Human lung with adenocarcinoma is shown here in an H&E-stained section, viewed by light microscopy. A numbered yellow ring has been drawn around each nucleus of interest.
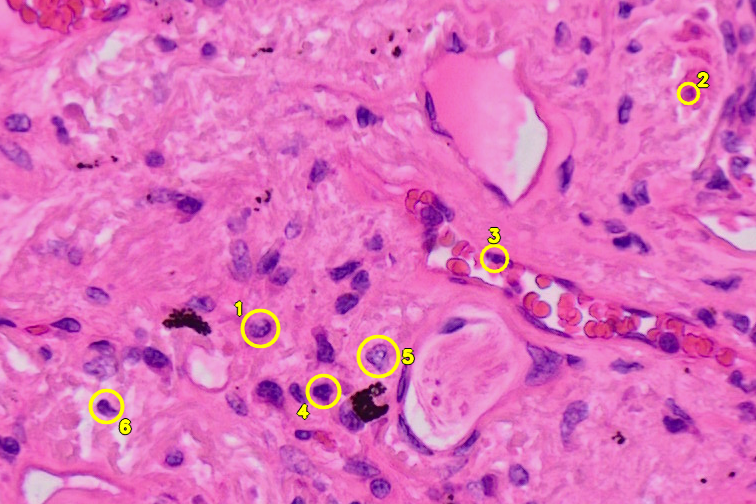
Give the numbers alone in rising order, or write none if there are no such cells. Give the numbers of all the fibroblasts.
5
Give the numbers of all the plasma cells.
1, 4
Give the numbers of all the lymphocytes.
6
